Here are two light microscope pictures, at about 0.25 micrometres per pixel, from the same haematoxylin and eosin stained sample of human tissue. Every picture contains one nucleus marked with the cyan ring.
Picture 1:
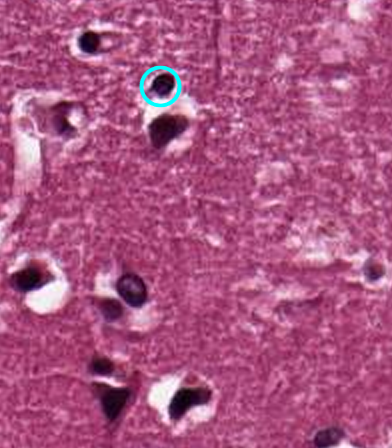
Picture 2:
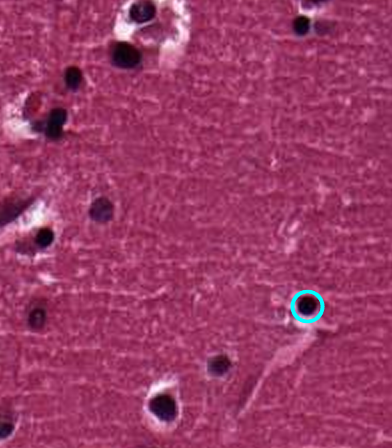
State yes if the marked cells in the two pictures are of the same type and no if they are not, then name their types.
Yes, both are oligodendrocytes.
